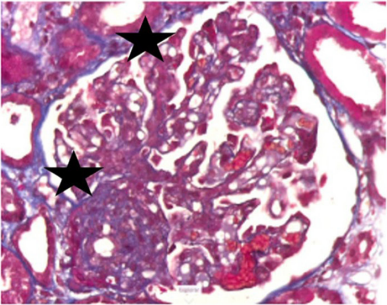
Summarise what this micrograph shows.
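A glomerulus stained with trichrome shows capillary loops partly filled with red material and blue-stained expanded matrix in the tuft. Around it lie tubules with red cytoplasm set in blue interstitium.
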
